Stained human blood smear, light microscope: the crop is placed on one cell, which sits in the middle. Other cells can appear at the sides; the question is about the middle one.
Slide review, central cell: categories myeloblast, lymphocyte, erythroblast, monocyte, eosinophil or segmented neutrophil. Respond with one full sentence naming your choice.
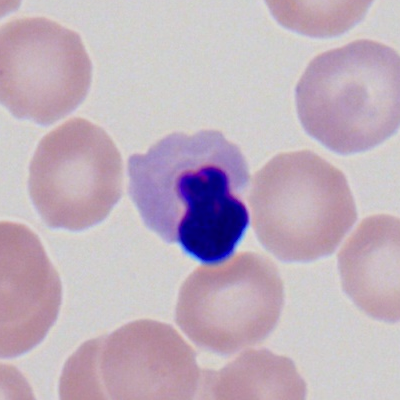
The cell positioned in the middle of the field is an erythroblast.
